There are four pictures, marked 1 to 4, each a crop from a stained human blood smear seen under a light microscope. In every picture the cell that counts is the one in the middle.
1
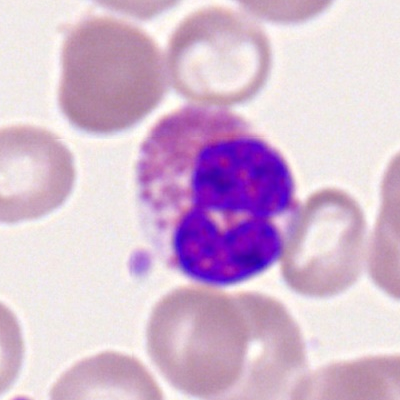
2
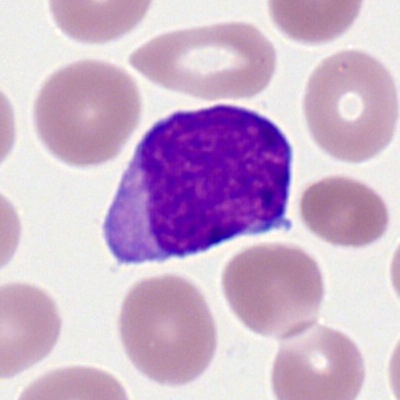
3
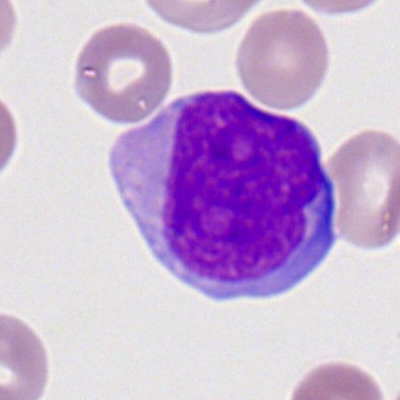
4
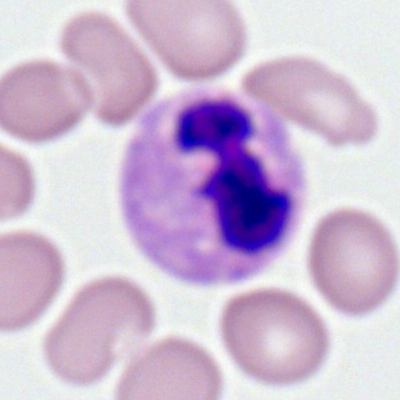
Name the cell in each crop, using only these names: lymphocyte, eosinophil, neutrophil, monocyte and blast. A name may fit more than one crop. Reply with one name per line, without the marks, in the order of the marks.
eosinophil
blast
blast
neutrophil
